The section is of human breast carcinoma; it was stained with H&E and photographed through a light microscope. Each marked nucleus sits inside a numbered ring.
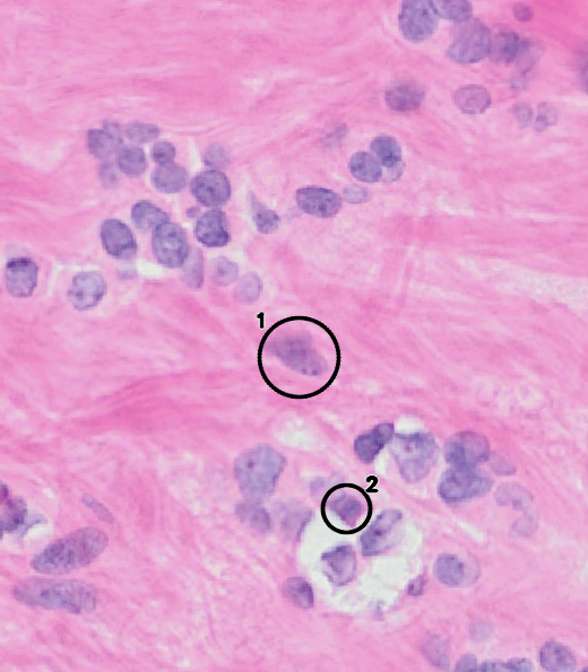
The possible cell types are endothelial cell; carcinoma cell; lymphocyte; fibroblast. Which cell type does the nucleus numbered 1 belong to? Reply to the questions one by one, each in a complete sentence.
Denoted by the label 1 in the section is a fibroblast.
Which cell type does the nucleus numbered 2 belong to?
The identity of cell 2 is that of a carcinoma cell.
